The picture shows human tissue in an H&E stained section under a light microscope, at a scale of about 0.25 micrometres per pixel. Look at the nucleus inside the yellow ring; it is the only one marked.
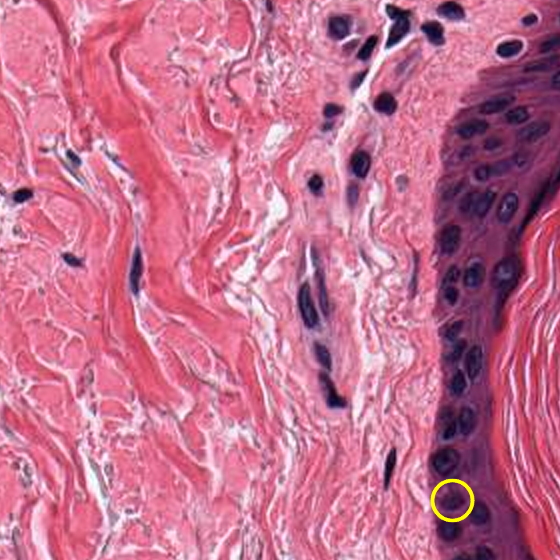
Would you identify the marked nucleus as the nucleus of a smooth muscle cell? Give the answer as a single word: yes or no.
no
